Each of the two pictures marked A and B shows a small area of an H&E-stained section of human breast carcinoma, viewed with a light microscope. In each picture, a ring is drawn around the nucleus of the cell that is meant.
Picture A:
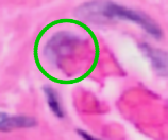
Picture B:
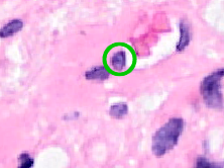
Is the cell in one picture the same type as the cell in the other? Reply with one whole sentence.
Yes, both cells are endothelial cells.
